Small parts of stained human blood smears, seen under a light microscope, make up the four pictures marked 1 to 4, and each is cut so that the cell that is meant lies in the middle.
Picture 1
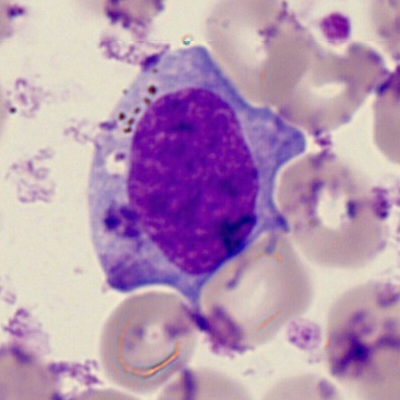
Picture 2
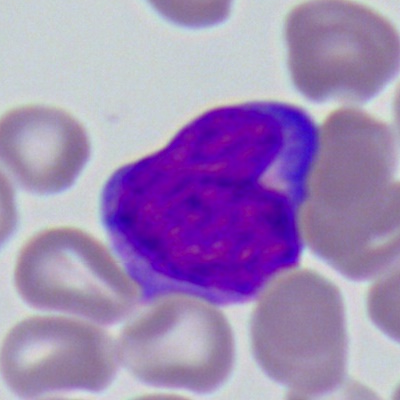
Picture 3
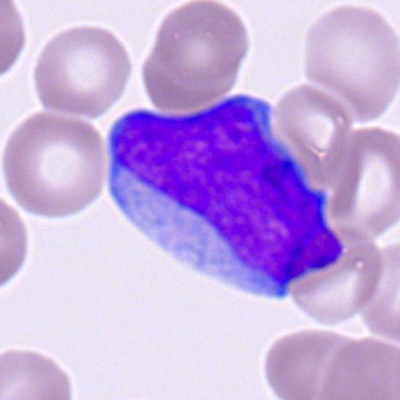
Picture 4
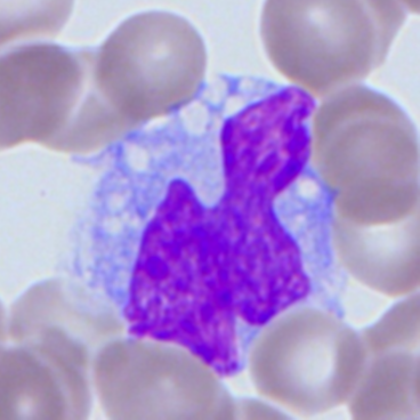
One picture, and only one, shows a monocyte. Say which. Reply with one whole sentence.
Picture 4 shows the monocyte.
